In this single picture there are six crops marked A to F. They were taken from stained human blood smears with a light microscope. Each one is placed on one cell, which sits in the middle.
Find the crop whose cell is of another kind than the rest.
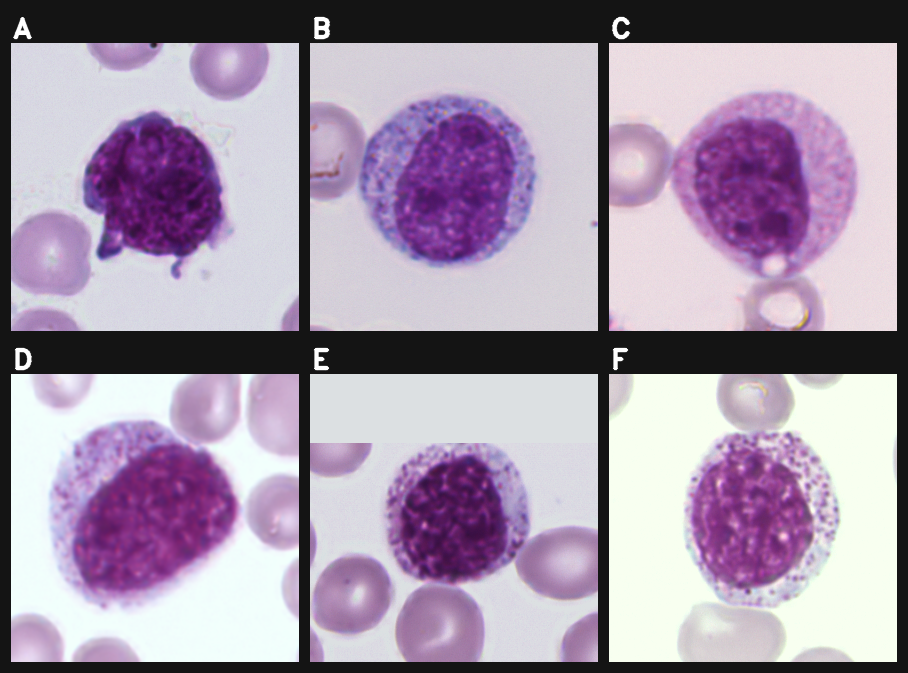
A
